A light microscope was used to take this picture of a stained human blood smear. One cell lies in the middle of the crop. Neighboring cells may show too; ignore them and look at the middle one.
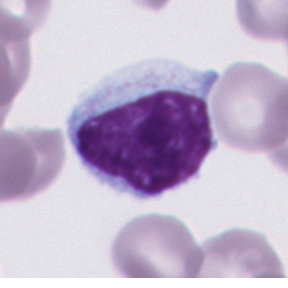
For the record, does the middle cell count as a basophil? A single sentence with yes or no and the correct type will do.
No, it is a typical lymphocyte and not a basophil that occupies the middle of the crop.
